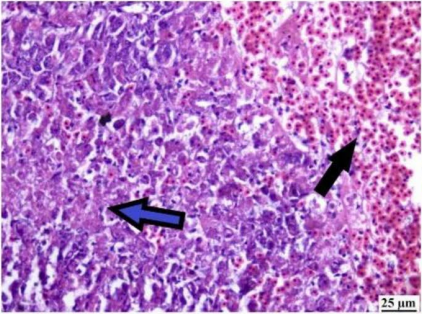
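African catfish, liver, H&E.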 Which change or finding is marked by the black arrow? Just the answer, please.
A: Hemorrhage.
